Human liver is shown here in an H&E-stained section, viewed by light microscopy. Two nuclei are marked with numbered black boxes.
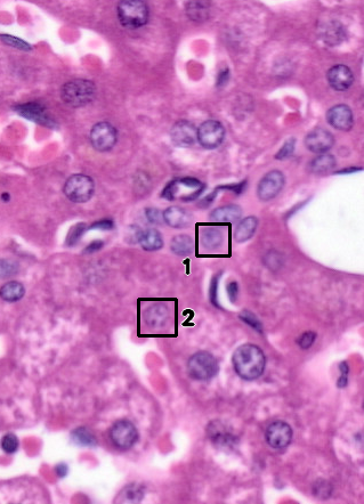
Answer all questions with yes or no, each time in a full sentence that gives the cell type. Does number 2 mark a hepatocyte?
Yes, for number 2, the cell is a hepatocyte.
